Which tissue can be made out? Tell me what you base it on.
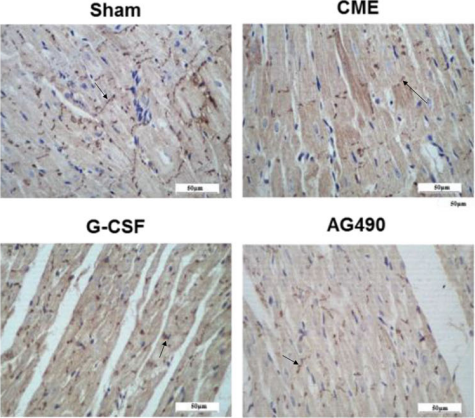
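Myocardium. Elongated muscle fibres run in parallel bundles. Oval nuclei are scattered along the fibres.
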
